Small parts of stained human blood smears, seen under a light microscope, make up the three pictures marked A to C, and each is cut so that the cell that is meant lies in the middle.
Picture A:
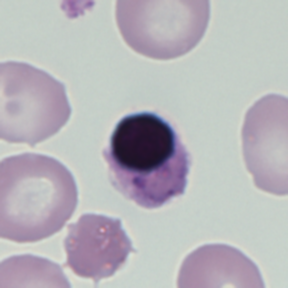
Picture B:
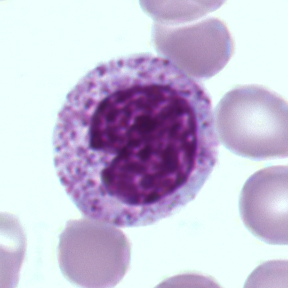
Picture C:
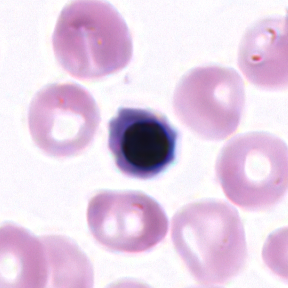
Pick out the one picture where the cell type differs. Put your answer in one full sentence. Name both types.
Picture B is the odd one out: it shows a band neutrophil, while the others show normoblasts.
